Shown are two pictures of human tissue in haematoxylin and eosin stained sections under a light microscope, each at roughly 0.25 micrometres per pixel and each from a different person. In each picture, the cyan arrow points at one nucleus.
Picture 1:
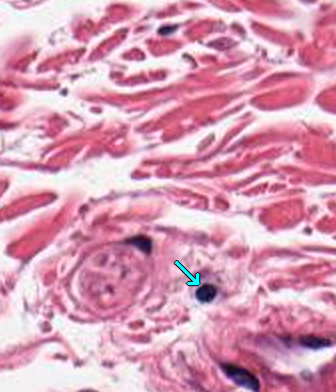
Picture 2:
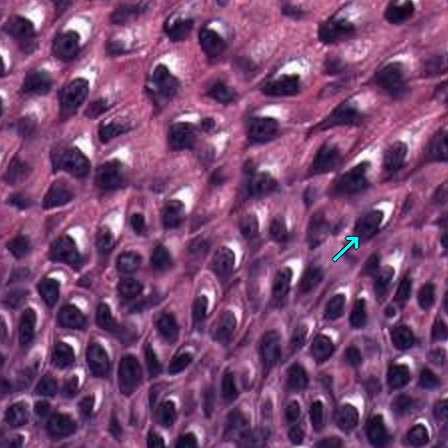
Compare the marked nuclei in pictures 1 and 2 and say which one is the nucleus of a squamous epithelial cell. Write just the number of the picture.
2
